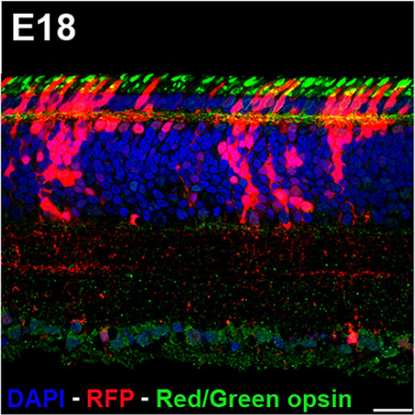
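This is a section through the retina with its layers stacked from the outer edge at the top to the inner side at the bottom. At the bottom a thin row of sparse nuclei forms the innermost cell layer.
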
